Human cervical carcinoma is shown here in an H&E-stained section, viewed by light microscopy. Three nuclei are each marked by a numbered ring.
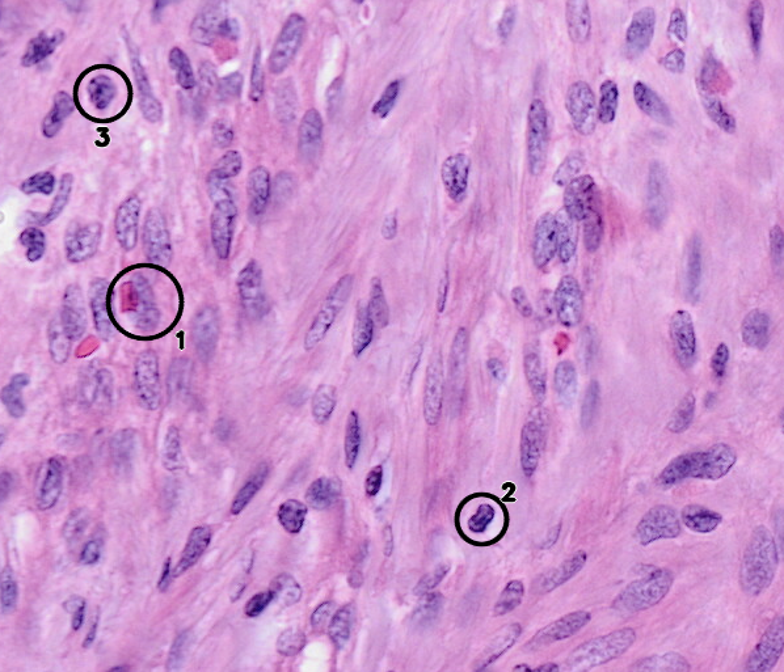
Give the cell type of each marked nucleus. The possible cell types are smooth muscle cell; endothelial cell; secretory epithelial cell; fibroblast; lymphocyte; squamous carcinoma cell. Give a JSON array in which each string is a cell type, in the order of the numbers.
["endothelial cell", "lymphocyte", "lymphocyte"]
